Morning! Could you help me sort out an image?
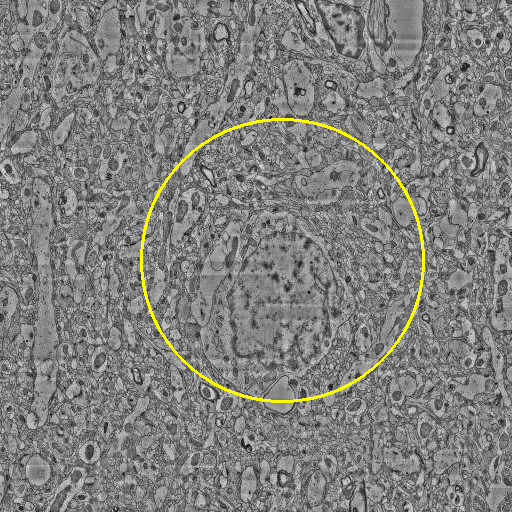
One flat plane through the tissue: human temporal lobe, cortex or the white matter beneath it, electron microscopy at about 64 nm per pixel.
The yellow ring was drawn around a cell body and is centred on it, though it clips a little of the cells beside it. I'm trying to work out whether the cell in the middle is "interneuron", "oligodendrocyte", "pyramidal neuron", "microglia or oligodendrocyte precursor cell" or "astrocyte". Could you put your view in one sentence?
The ringed cell body is that of an interneuron.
